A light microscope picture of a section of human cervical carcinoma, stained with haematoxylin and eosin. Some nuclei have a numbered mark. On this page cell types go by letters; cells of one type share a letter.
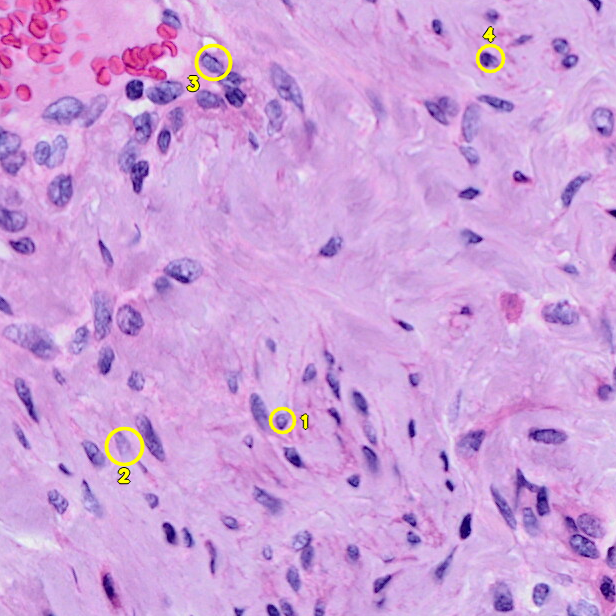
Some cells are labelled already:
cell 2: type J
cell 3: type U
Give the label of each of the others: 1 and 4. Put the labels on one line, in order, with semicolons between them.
type J; type J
